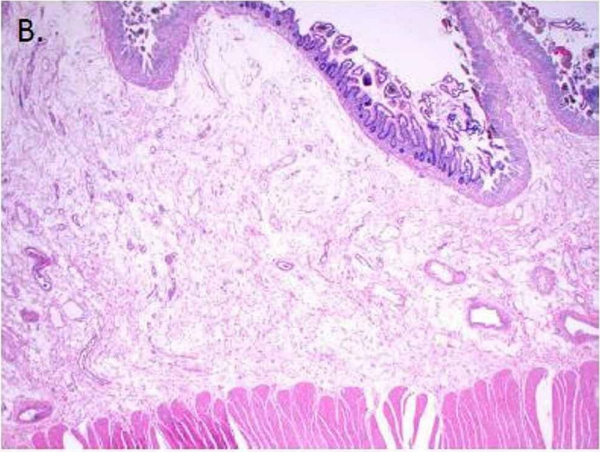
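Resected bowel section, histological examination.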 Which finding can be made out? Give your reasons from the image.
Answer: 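A broad, pale, loose layer lies between the mucosa above and the muscle layer below. Fibers in this layer are widely separated with clear spaces between them. Scattered vessels lie within the loose pale stroma. On this evidence: marked submucosal edema with myxoid changes.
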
